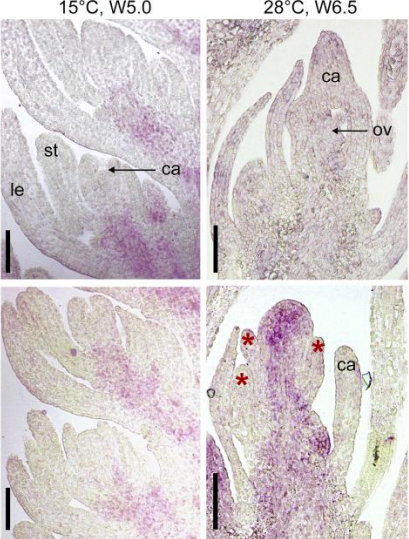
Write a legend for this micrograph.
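Four longitudinal sections show young floral organs made of small, closely packed cells, with purple stain spread diffusely through parts of the tissue. The two left sections show several florets side by side, each with outer bract-like organs enclosing inner organ primordia. The upper right section shows a pistil with a central cavity and only faint stain. The lower right section shows a central column of tissue with strong purple stain, flanked by several lobed outgrowths marked by asterisks.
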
